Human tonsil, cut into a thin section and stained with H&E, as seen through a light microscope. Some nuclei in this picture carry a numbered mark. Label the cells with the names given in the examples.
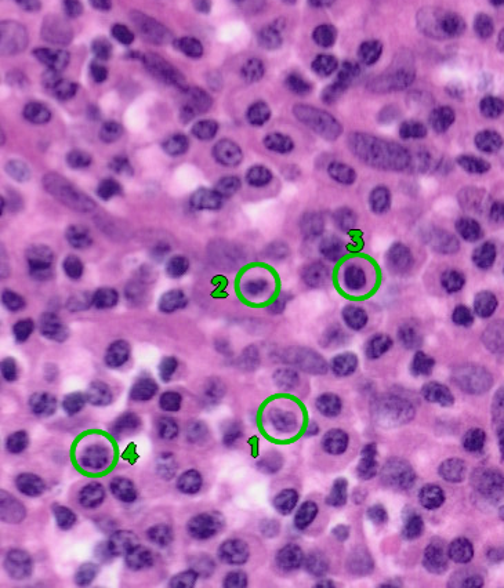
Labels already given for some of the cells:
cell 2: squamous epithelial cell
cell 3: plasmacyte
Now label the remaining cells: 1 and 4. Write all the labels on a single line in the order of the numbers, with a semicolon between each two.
plasmacyte; plasmacyte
